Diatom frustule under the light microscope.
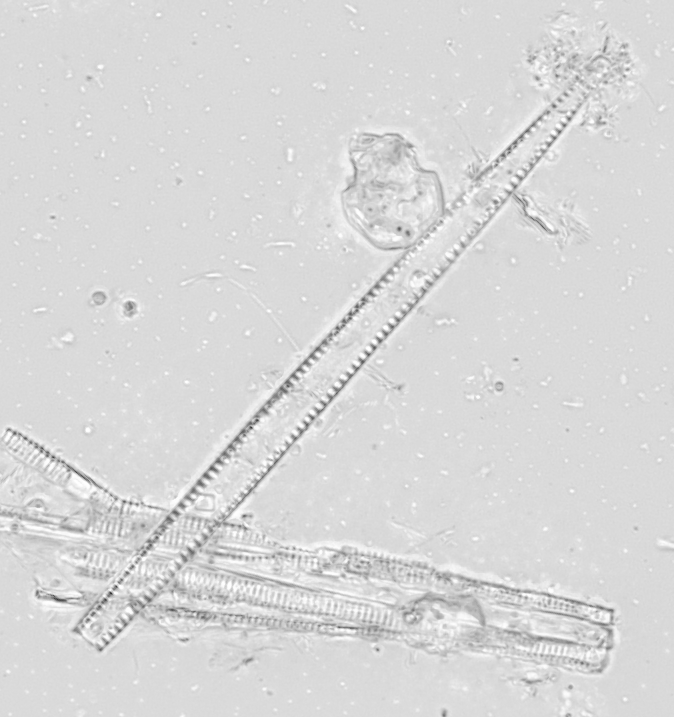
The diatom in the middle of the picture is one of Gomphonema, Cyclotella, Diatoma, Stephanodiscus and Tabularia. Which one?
Tabularia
